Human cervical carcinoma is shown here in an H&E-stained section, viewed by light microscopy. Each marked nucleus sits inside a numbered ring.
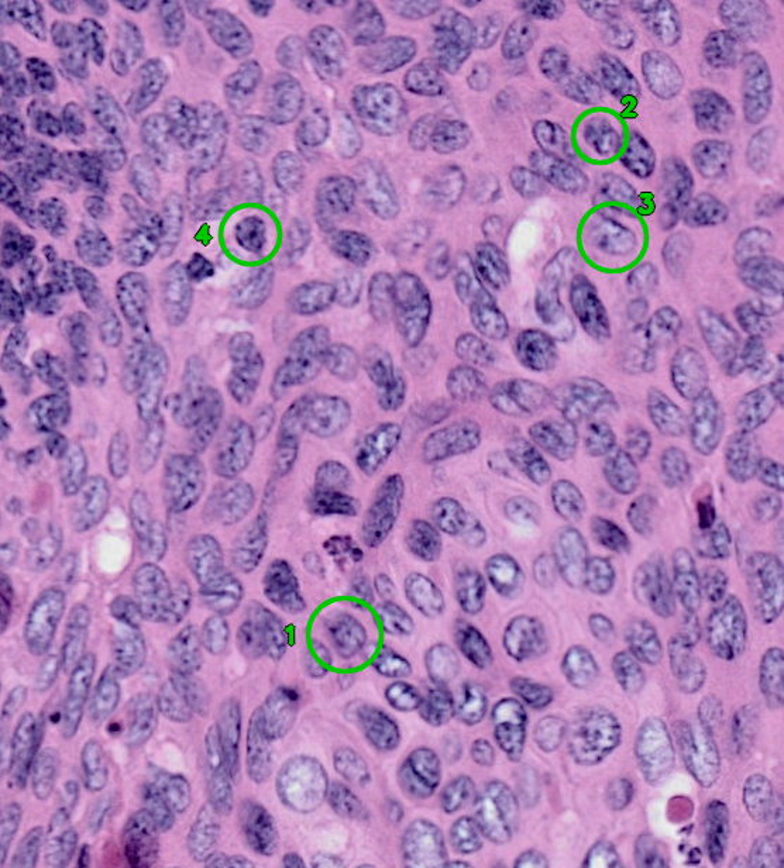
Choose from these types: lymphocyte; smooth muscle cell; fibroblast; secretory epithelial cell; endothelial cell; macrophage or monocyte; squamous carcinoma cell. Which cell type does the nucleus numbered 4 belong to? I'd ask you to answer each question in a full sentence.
The correct answer for cell 4 is a lymphocyte.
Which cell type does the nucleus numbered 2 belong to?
The cell marked with the number 2 is a squamous carcinoma cell.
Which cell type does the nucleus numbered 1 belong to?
The correct label for cell 1 is a squamous carcinoma cell.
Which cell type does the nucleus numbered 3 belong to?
Recognised here as a squamous carcinoma cell is the cell numbered 3.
